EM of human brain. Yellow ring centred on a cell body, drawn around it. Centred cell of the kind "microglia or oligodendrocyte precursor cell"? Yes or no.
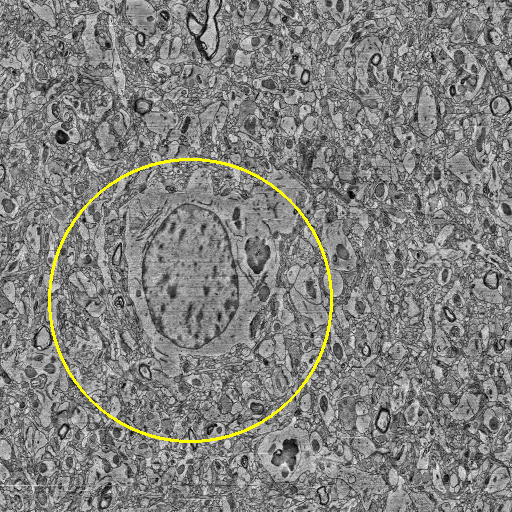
no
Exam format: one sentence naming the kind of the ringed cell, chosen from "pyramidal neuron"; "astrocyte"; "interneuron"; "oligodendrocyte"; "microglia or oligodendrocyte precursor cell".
Instead, the cell at the centre of the ring is an astrocyte.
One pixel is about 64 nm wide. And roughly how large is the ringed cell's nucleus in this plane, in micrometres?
At approximately 10 by 6 micrometres, the nucleus is clearly longer than it is wide in this plane.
